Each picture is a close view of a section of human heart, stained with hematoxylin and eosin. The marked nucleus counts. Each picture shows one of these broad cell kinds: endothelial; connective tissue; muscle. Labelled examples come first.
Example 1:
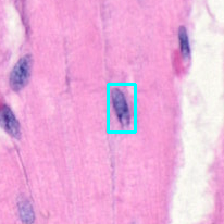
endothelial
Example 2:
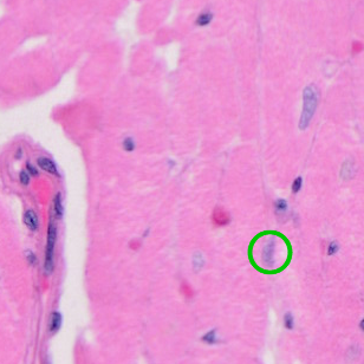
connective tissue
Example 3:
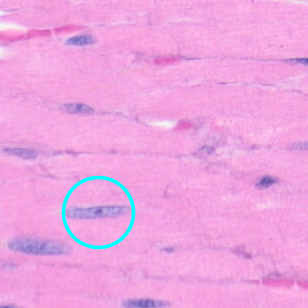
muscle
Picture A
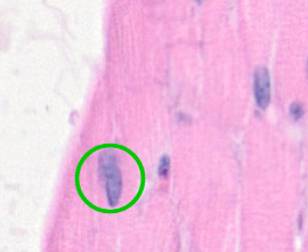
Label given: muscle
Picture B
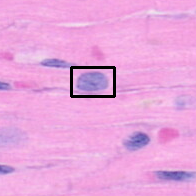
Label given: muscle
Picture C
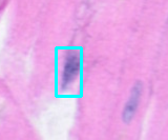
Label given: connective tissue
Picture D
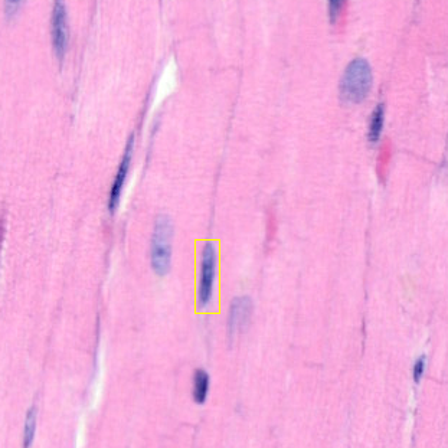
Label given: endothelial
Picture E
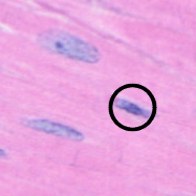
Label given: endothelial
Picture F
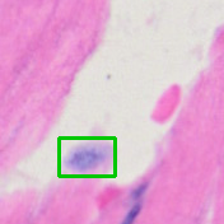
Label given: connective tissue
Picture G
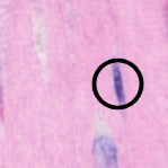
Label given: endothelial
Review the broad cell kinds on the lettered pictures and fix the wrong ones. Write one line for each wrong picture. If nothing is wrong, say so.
C: change connective tissue to endothelial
